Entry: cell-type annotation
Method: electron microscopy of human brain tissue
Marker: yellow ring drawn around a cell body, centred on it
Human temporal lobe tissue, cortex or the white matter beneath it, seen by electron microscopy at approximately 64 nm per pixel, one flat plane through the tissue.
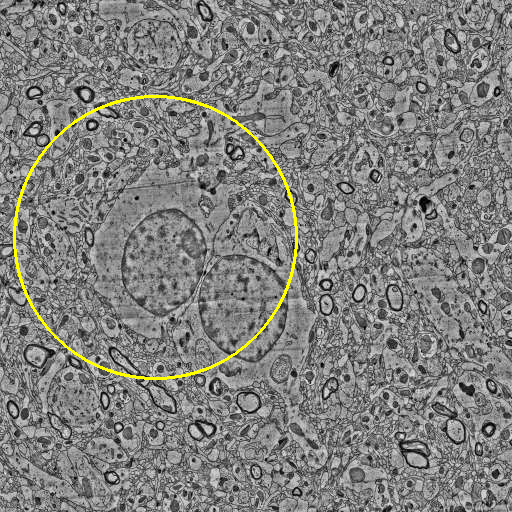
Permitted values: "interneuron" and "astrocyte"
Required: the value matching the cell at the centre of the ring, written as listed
astrocyte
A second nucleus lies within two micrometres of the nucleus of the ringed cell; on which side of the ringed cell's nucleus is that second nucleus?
That other nucleus appears to the right of it.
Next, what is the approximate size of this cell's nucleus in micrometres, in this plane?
Roughly 7 by 5 micrometres is the size of the nucleus in this plane.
